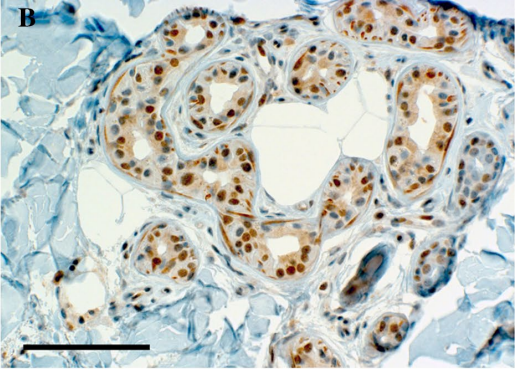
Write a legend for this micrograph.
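This is a coiled eccrine gland in the dermis, cut so that many of its tubules appear as rounds and ovals. Each tubule is lined by a layer of cuboidal cells with round nuclei, many of which are brown, around a small clear lumen. The cytoplasm of the lining takes a pale tan colour. At the edge of the tubules a thin rim of flattened cells sits against the surrounding wall. The tubules are bedded in pale, blue-tinged fibrous dermis with scattered spindle-shaped nuclei, and fat spaces are seen nearby.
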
